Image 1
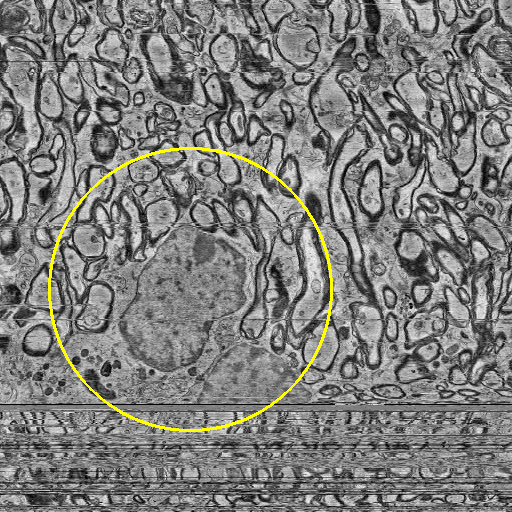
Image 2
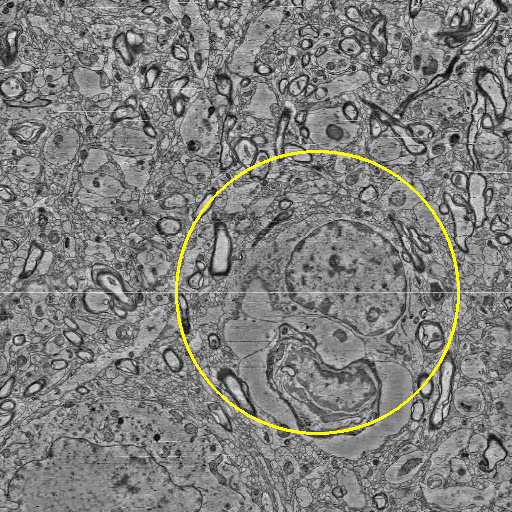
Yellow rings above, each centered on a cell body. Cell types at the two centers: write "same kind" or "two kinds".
same kind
